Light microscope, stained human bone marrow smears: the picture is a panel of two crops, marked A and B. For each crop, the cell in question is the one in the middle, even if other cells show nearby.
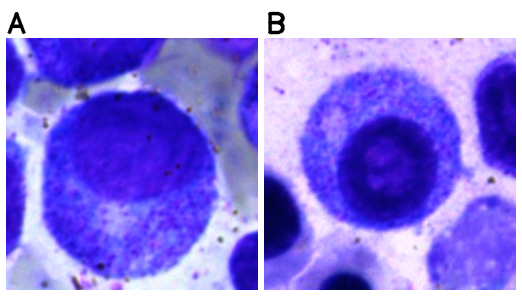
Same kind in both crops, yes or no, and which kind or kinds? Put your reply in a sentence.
Yes, promyelocytes are centred in both crops.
